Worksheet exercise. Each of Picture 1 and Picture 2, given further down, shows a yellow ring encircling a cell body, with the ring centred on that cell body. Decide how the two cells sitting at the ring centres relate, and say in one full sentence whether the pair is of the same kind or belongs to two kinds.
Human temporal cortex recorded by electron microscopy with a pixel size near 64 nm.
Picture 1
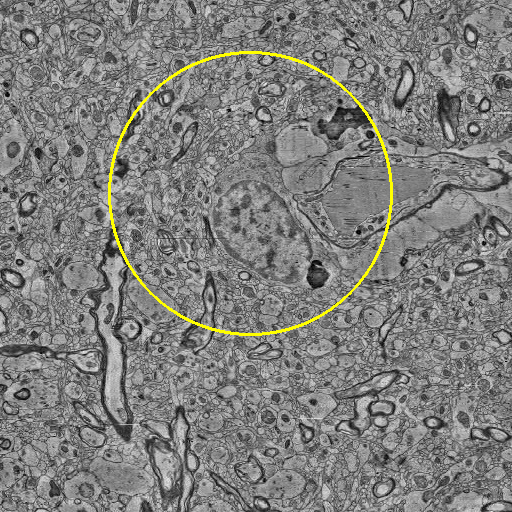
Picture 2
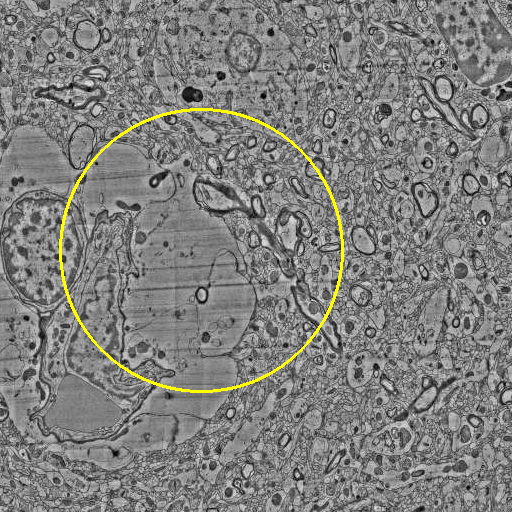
The cells at the ring centres in Picture 1 and Picture 2 are of the same kind.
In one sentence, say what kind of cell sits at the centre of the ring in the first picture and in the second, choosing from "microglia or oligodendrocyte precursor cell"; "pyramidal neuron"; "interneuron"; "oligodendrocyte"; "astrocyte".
Both cells are the same kind, each one being an oligodendrocyte.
